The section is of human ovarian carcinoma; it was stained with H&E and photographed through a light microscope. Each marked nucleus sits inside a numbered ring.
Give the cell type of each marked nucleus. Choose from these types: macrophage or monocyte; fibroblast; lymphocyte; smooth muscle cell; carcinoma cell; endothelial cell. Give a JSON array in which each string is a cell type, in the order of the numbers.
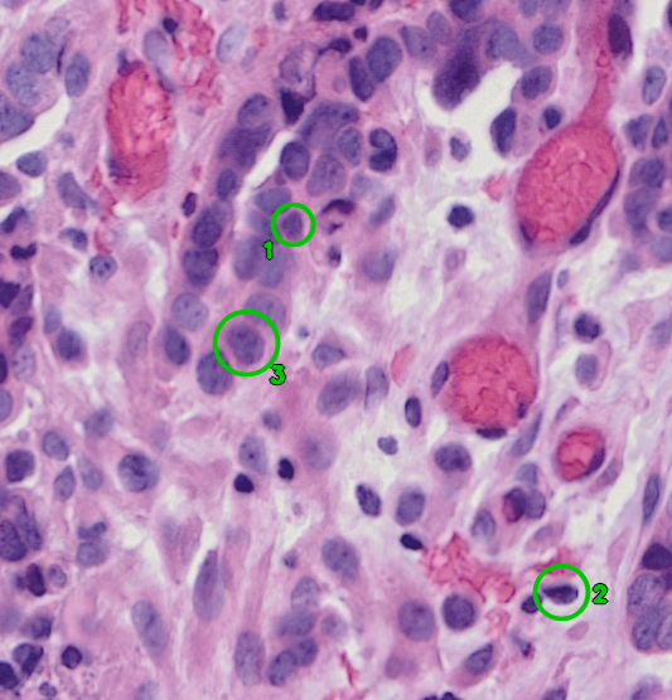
["carcinoma cell", "lymphocyte", "carcinoma cell"]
